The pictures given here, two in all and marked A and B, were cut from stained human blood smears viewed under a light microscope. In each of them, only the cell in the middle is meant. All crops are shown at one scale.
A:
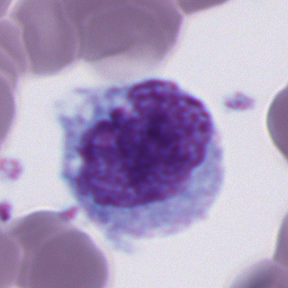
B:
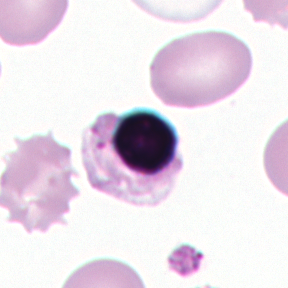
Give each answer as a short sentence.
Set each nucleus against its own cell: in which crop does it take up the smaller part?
It is the cell in crop B that is filled less by its nucleus.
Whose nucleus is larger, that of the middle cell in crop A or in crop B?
Larger is the nucleus in crop A, at roughly 4 times the area of the other.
